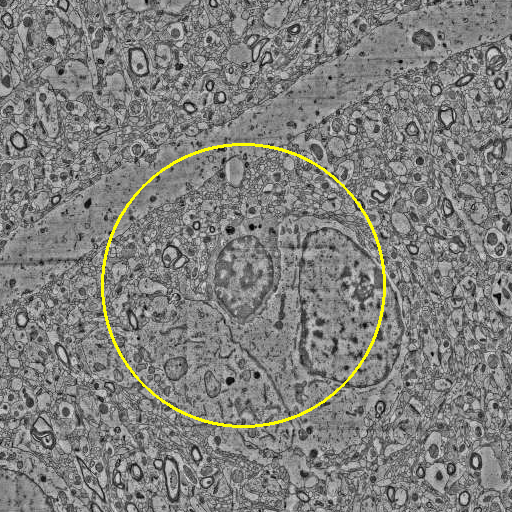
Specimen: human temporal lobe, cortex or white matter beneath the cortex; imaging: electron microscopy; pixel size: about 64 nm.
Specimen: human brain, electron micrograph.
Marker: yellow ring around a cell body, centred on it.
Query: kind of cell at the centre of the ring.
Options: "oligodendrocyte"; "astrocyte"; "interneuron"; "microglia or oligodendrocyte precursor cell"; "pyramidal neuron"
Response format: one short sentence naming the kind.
This cell body belongs to an oligodendrocyte.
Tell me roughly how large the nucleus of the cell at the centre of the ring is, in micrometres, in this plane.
The nucleus of the ringed cell is approximately 5 by 4 micrometres in this plane.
